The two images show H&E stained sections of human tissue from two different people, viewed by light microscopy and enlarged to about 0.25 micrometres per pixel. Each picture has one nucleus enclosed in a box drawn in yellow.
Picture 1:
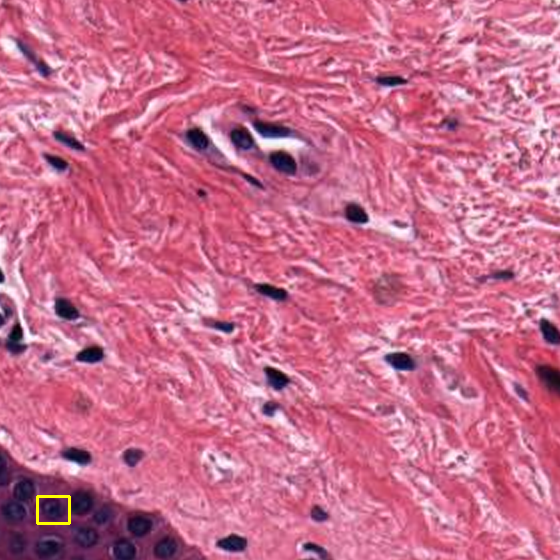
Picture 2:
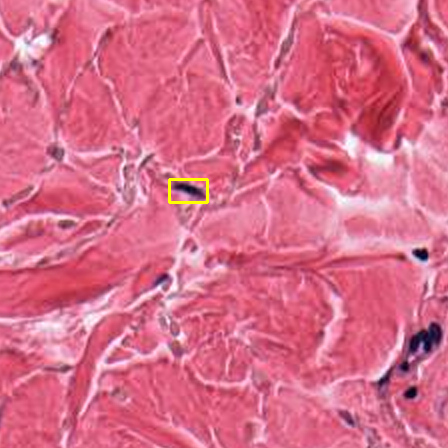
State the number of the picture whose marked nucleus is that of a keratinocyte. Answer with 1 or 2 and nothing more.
1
